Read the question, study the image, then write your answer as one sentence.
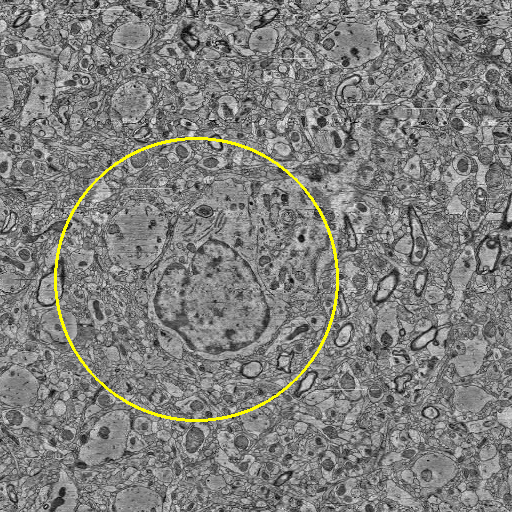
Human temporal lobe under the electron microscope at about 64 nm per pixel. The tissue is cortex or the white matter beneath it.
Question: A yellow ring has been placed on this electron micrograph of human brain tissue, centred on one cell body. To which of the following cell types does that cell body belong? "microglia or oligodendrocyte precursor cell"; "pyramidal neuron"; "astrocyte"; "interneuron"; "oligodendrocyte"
That cell body belongs to a microglial cell or oligodendrocyte precursor cell.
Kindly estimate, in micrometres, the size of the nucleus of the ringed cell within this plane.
Roughly 7 micrometers across, in this plane.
